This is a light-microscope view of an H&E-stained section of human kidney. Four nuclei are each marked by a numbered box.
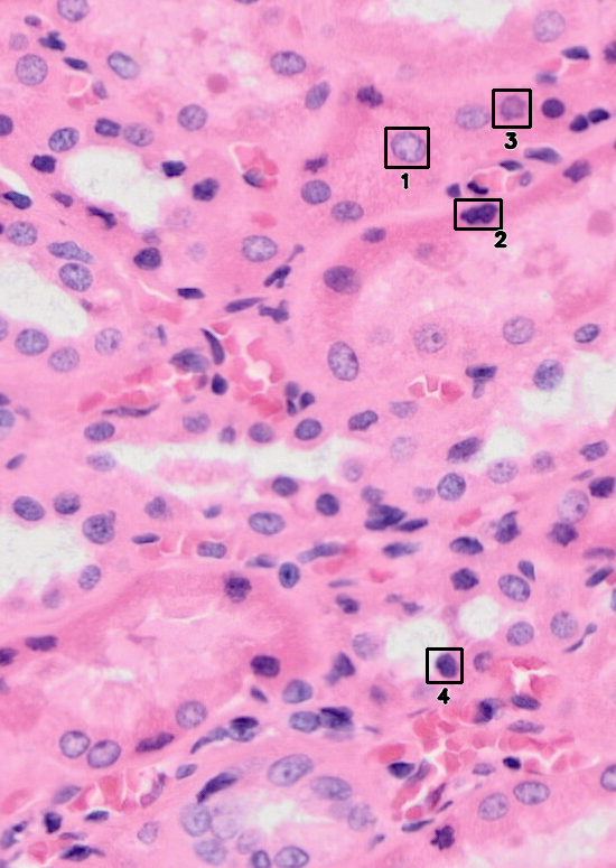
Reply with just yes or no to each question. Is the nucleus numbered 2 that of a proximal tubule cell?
yes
